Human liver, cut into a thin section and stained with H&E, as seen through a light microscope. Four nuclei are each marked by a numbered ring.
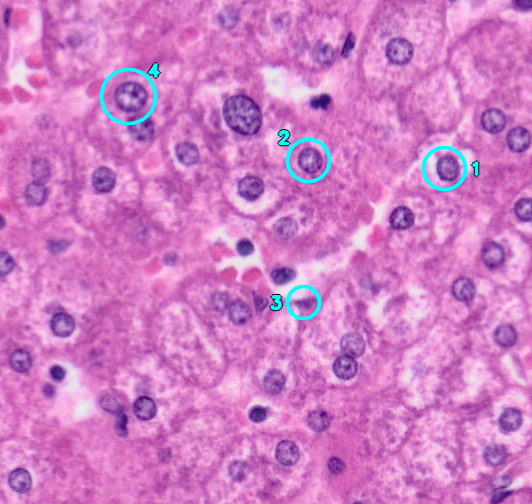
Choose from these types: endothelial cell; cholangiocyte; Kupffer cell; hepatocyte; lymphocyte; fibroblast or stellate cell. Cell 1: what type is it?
hepatocyte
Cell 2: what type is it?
hepatocyte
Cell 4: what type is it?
hepatocyte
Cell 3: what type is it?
endothelial cell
